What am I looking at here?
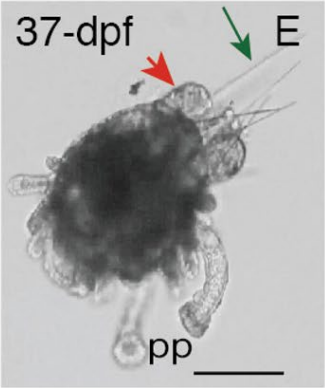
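Several translucent, tube-like appendages extend from its edge, some ending in rounded, disc-like tips. Thin, straight, clear rods project from its upper right, where only a short rounded stub of soft tissue remains.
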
